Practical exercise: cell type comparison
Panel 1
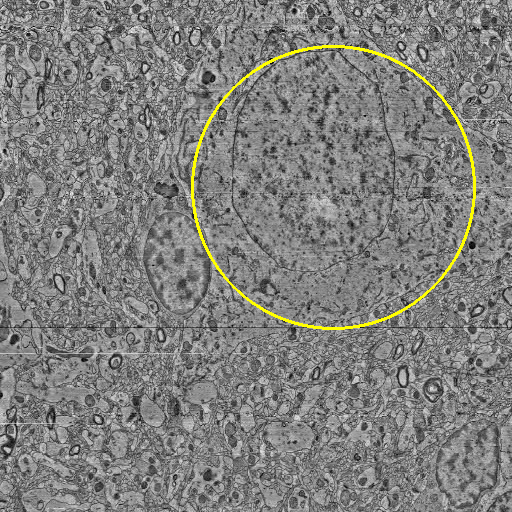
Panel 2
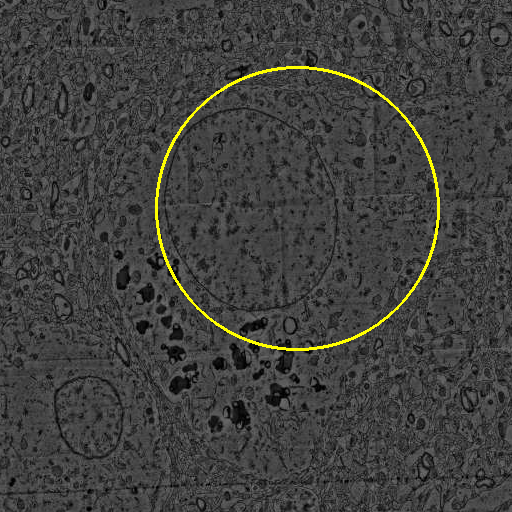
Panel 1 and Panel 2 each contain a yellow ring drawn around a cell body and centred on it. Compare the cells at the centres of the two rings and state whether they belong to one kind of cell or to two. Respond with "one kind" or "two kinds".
one kind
